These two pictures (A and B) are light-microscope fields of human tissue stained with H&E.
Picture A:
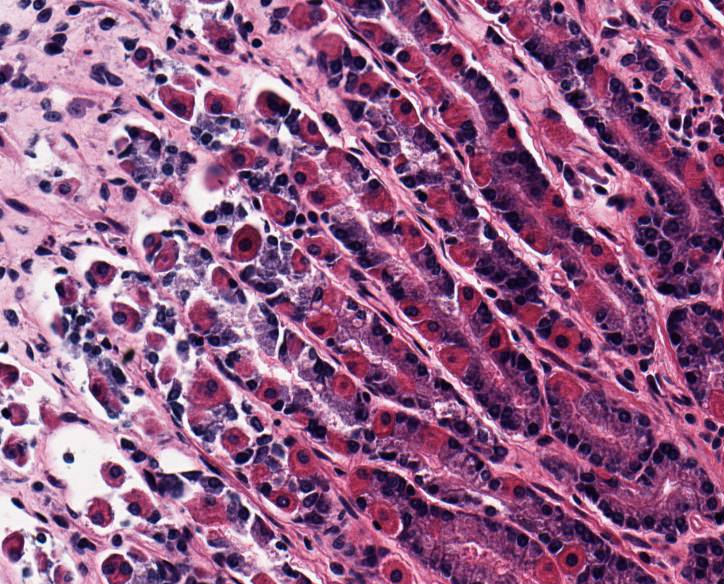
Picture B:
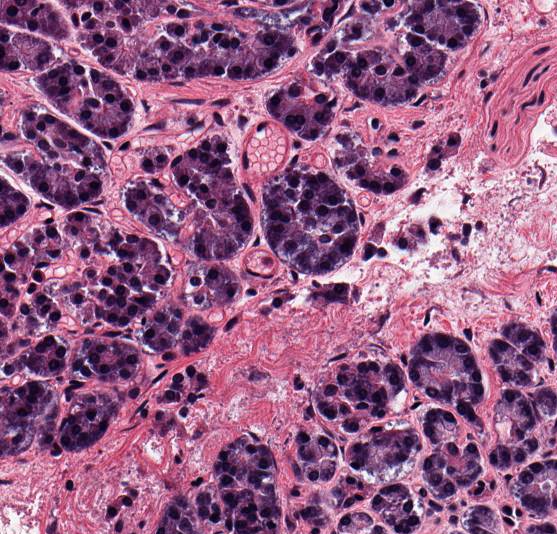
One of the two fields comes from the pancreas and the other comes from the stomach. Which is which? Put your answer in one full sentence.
Picture B comes from the pancreas, while picture A comes from the stomach.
